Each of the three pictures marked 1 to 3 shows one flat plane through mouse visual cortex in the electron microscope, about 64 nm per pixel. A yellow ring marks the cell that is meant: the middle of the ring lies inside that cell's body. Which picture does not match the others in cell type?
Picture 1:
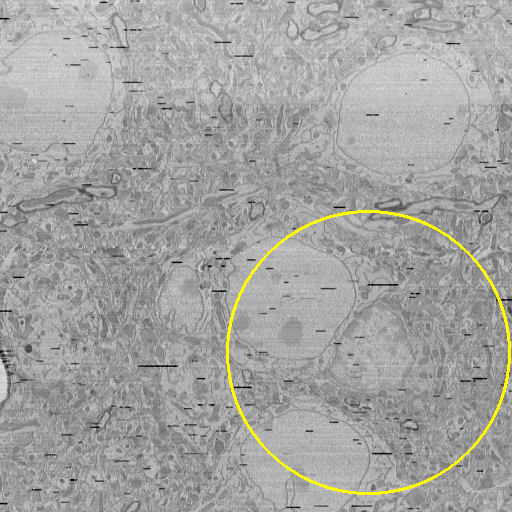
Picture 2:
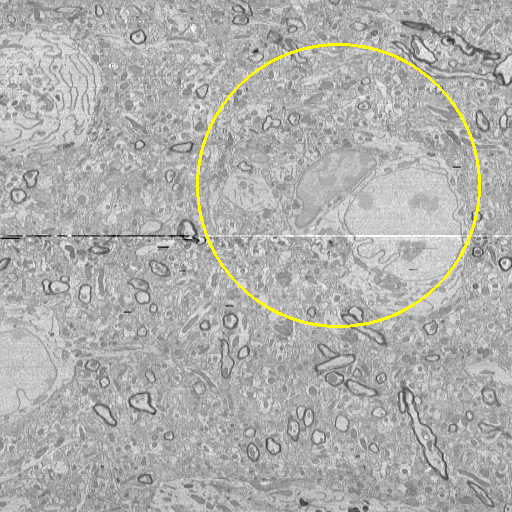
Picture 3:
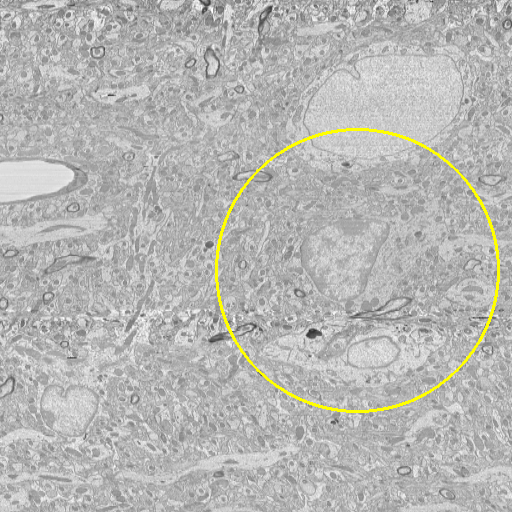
All pictures except 2 show oligodendrocytes; picture 2 shows a microglial cell.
